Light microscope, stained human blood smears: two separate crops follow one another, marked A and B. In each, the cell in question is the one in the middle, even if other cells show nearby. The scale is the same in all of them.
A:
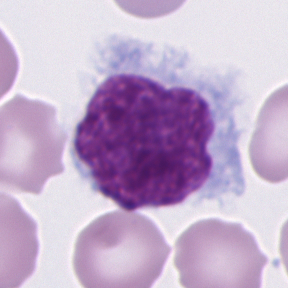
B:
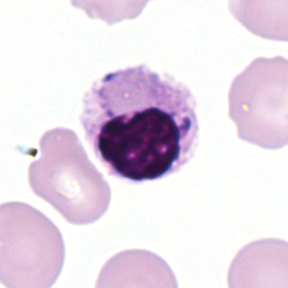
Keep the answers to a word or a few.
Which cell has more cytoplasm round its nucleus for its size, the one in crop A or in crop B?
B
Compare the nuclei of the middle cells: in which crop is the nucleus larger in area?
A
